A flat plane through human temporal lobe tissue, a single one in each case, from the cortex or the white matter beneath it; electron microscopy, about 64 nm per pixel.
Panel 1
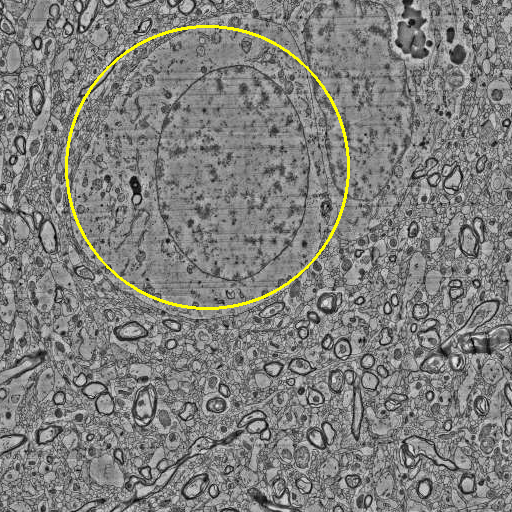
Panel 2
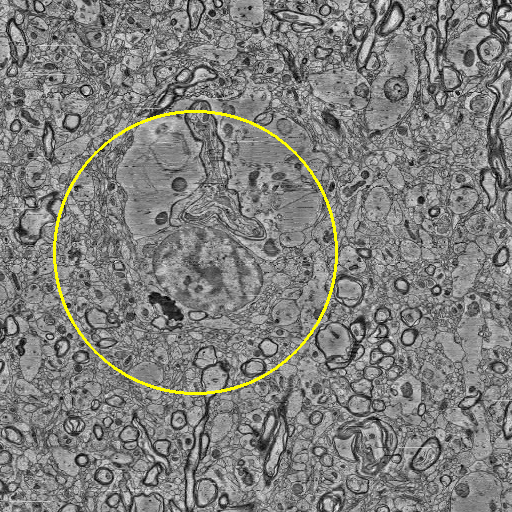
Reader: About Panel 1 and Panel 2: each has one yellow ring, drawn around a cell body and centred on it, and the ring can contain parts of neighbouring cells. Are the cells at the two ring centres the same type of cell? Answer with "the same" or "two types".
two types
